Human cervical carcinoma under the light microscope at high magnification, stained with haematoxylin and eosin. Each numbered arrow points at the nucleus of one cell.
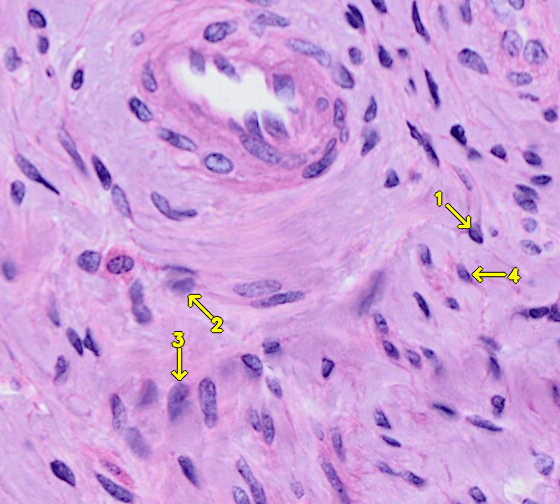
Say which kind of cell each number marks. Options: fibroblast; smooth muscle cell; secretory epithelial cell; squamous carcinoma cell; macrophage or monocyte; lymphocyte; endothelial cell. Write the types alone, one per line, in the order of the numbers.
fibroblast
fibroblast
fibroblast
smooth muscle cell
